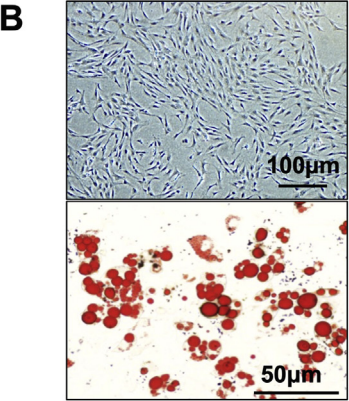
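The upper image shows a dense culture of slender, spindle-shaped cells whose elongated bodies run in loose parallel streams across the dish. The lower image, at higher magnification, shows cells packed with round droplets stained bright red, ranging from small dots to large globules, many of them crowded together. Small bluish specks lie scattered between the red droplets.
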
